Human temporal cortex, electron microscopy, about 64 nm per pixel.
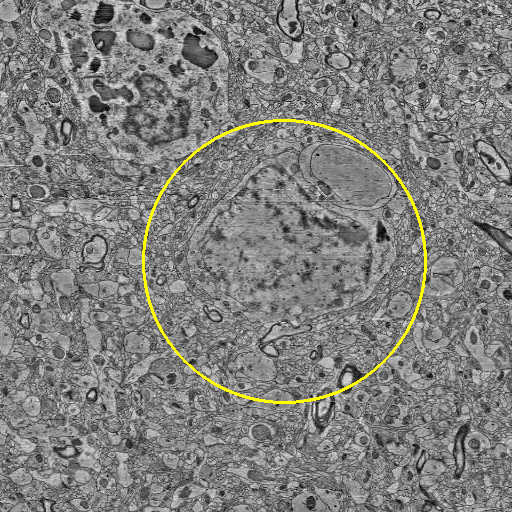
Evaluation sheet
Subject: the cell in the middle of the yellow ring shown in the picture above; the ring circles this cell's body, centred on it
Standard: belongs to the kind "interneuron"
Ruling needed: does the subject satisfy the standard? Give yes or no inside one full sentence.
Yes, the cell in the middle of the ring in the picture above belongs to the stated kind.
